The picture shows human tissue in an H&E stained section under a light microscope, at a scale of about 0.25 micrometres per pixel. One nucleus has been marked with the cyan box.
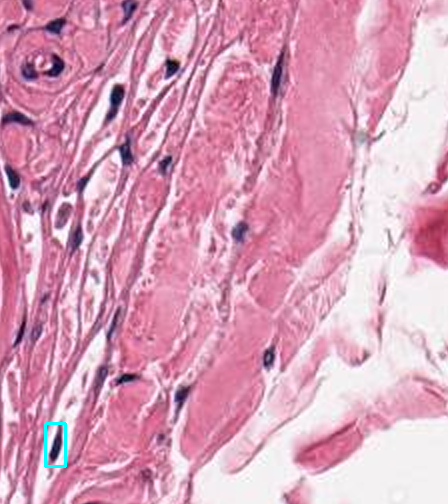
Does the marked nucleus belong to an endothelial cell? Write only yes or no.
no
